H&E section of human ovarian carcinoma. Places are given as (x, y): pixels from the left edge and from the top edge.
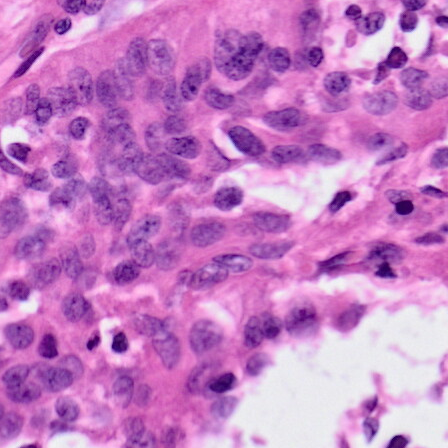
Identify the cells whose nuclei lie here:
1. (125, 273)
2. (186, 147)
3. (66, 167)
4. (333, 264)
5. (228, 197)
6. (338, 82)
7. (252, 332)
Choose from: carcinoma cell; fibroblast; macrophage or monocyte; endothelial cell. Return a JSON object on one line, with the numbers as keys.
{"1": "carcinoma cell", "2": "macrophage or monocyte", "3": "macrophage or monocyte", "4": "endothelial cell", "5": "macrophage or monocyte", "6": "macrophage or monocyte", "7": "carcinoma cell"}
